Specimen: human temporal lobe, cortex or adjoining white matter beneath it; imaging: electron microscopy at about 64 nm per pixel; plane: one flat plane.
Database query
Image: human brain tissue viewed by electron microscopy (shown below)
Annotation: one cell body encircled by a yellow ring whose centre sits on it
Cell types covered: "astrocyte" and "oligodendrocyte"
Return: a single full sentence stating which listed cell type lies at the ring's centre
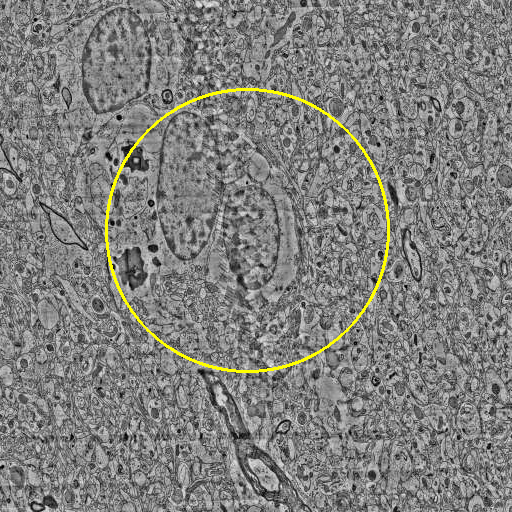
In the image, the cell lying at the ring's centre is an astrocyte.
